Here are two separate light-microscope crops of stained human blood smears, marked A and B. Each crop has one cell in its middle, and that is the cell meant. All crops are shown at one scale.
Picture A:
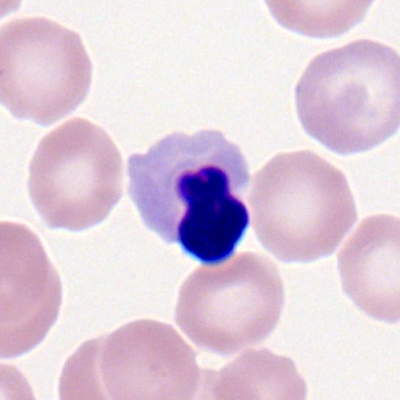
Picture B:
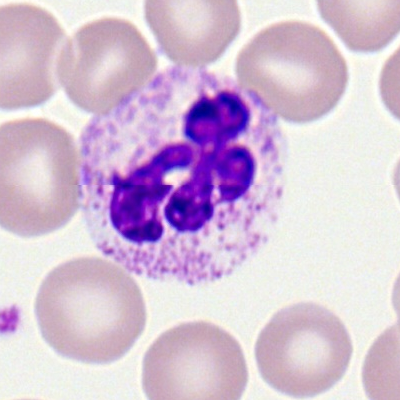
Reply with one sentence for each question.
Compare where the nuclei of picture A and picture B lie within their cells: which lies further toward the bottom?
In picture A the nucleus is shifted more toward the bottom.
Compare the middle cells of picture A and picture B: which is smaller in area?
The cell in picture A is smaller; the one in picture B has about 2.5 times its area.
